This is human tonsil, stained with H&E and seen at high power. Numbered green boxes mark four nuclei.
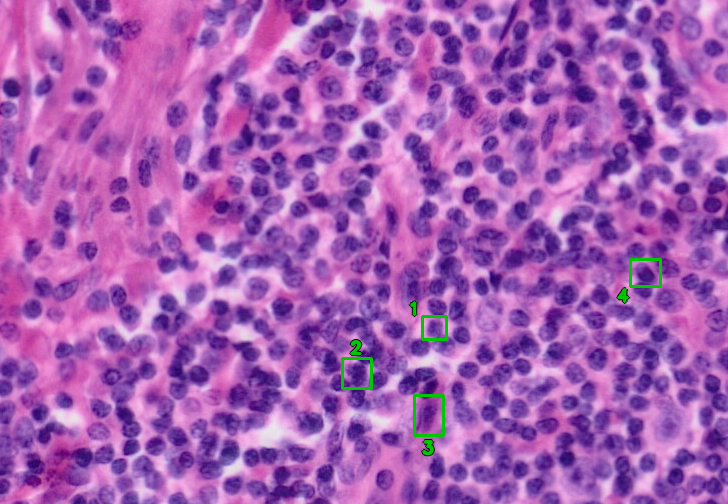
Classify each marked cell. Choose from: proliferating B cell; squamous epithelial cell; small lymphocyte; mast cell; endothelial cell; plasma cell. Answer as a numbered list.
1. small lymphocyte
2. small lymphocyte
3. endothelial cell
4. small lymphocyte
